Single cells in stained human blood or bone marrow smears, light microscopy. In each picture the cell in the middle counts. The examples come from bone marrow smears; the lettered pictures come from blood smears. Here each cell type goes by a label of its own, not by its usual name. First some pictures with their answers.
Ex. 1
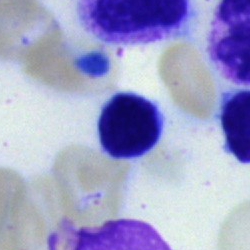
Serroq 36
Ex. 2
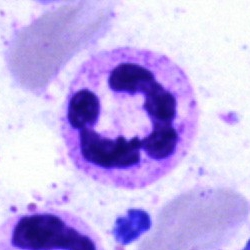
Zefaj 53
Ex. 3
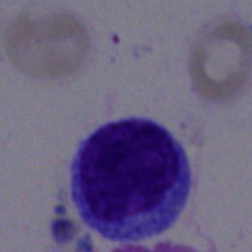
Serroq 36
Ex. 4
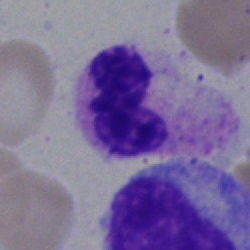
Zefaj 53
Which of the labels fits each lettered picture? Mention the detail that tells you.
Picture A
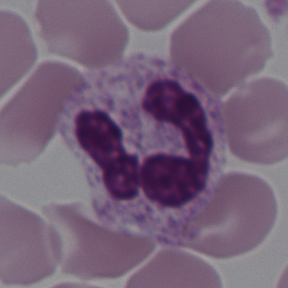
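Zefaj 53: The cytoplasm is plentiful and pale pinkish-lilac.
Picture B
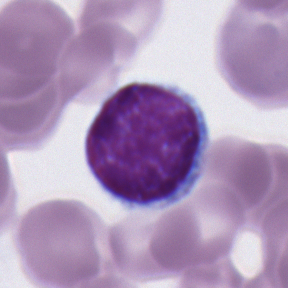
Serroq 36: The cytoplasm forms only a thin rim around the nucleus.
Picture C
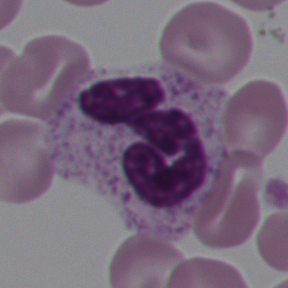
Zefaj 53: The cytoplasm is abundant and pale pinkish-grey.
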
